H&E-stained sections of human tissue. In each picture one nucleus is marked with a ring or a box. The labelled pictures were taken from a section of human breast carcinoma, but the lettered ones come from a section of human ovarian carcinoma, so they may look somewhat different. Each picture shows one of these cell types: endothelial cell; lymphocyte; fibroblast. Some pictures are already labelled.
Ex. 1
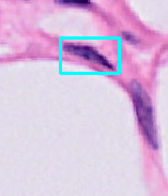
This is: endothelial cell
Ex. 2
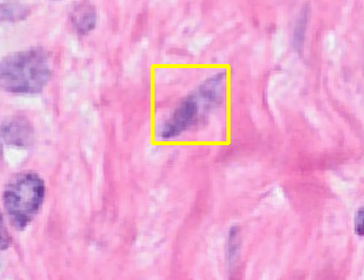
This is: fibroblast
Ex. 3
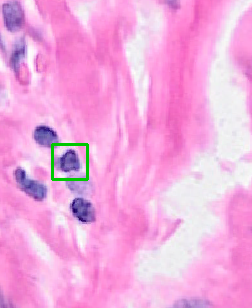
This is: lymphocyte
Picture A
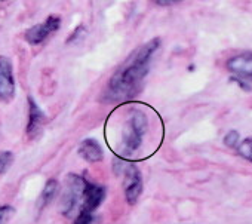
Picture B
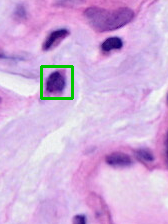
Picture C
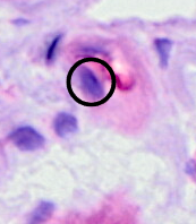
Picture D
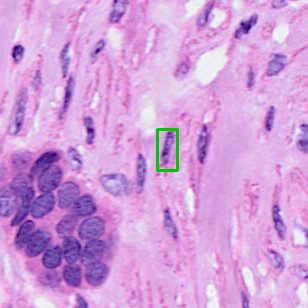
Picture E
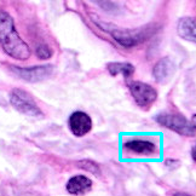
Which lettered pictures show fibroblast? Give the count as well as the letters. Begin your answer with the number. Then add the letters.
2: A, D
